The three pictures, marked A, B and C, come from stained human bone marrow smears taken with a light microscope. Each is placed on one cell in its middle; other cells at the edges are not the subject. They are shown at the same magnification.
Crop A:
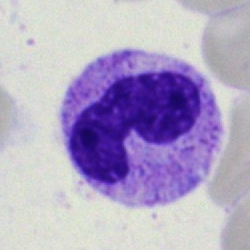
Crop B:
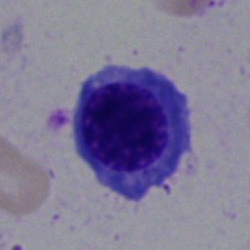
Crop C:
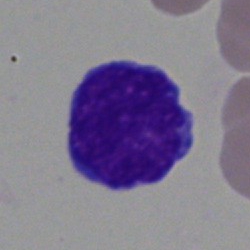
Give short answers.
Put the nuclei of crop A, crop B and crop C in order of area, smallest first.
B, A, C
